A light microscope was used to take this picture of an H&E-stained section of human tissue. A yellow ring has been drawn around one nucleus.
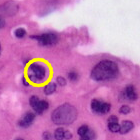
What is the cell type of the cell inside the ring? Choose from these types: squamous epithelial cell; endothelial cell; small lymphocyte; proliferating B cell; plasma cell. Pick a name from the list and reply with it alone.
squamous epithelial cell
